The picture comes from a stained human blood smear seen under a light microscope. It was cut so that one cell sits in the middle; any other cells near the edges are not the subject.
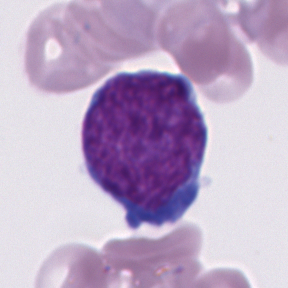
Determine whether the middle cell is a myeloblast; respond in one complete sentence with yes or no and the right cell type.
Yes, the middle cell is properly termed a myeloblast.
